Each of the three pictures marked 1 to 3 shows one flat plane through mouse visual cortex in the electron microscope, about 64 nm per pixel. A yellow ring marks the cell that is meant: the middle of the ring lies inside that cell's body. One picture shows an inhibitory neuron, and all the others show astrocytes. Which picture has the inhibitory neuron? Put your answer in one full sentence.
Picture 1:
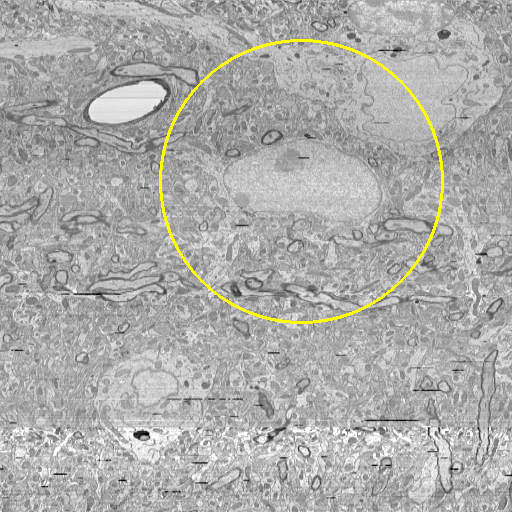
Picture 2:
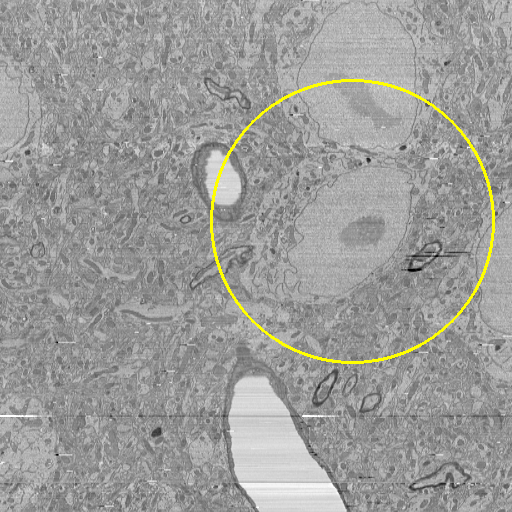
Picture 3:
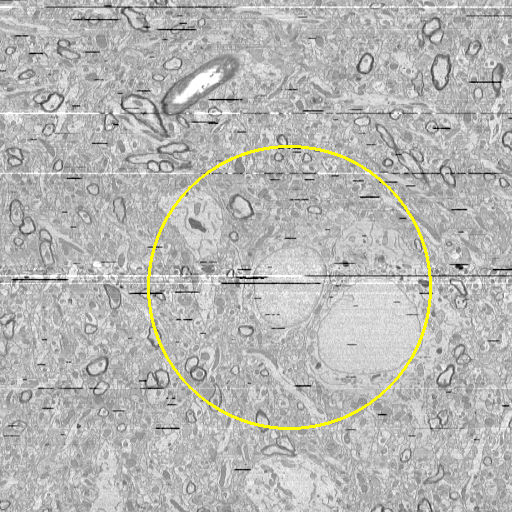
The picture with the inhibitory neuron is 2.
